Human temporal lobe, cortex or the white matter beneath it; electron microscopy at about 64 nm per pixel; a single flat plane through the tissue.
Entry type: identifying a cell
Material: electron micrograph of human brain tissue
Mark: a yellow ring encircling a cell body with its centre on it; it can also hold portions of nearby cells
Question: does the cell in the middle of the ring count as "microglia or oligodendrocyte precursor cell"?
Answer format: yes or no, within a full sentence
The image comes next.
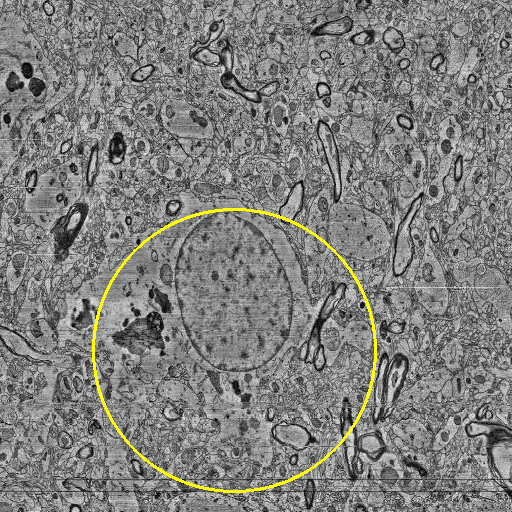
No, in the image, the cell in the middle of the yellow ring counts as a different kind.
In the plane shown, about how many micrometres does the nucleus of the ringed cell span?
The nucleus measures about 11 by 7 micrometres in this plane.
